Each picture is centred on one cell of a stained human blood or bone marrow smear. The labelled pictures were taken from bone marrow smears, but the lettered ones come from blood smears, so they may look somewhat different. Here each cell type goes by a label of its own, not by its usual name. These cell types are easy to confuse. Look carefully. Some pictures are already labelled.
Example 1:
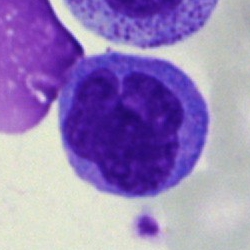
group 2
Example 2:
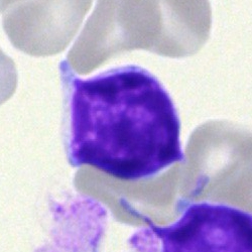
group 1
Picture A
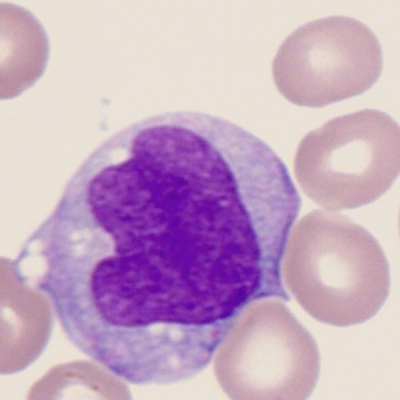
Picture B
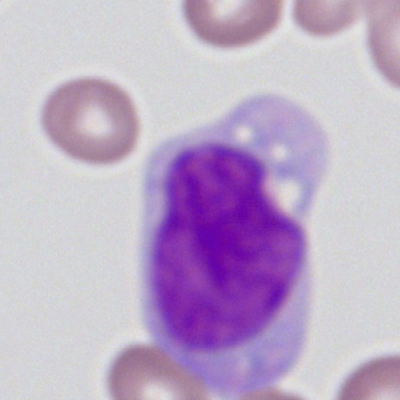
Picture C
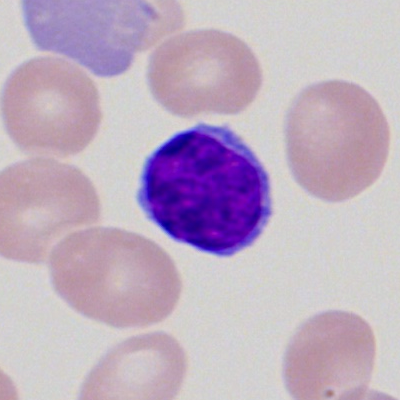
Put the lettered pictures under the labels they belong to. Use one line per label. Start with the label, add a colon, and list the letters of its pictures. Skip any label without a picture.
group 2: A, B
group 1: C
